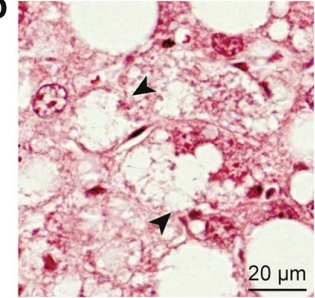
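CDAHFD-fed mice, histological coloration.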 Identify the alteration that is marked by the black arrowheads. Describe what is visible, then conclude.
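The marked cells are enlarged with pale, rarefied cytoplasm. The pale cytoplasm holds many small clear vacuoles and wispy pink strands. Large round clear vacuoles lie in the surrounding cells.
Answer: hepatocyte ballooning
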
